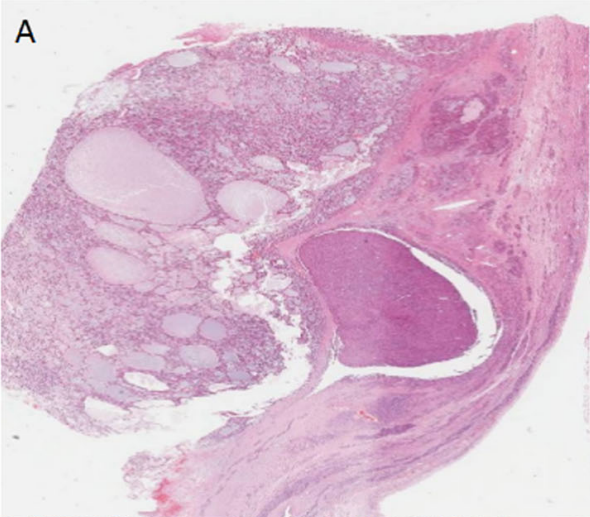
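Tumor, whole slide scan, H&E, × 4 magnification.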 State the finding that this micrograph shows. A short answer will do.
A: cystic growth pattern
